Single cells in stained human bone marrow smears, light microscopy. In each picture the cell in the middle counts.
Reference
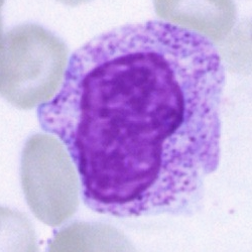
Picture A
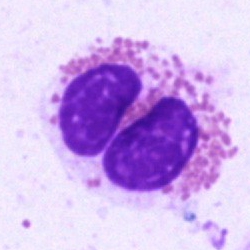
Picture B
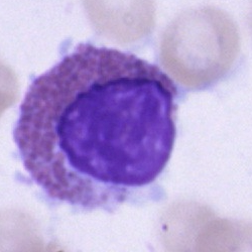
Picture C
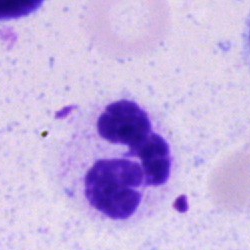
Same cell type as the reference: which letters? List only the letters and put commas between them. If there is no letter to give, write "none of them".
none of them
